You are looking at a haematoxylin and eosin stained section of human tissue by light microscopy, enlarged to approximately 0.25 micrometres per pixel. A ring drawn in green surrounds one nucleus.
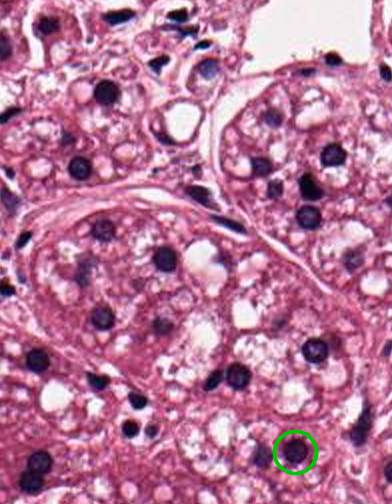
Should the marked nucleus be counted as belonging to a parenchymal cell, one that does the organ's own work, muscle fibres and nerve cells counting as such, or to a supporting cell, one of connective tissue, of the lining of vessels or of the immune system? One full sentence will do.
The parenchymal cell that owns the marked nucleus is an adrenal cortical cell.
